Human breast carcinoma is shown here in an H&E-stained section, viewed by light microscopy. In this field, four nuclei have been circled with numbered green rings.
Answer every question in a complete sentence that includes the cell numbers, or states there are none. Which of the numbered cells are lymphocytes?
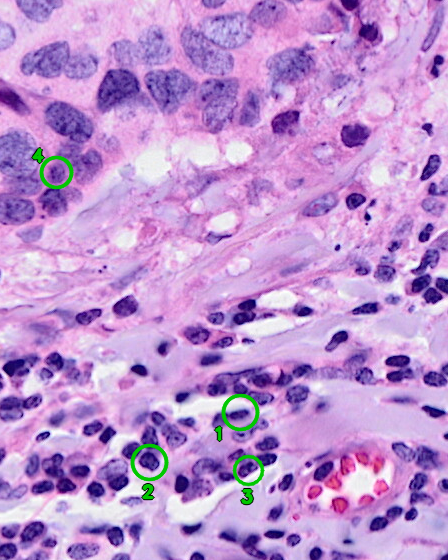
Cells that were given the numbers 1, 2 and 3 are lymphocytes.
